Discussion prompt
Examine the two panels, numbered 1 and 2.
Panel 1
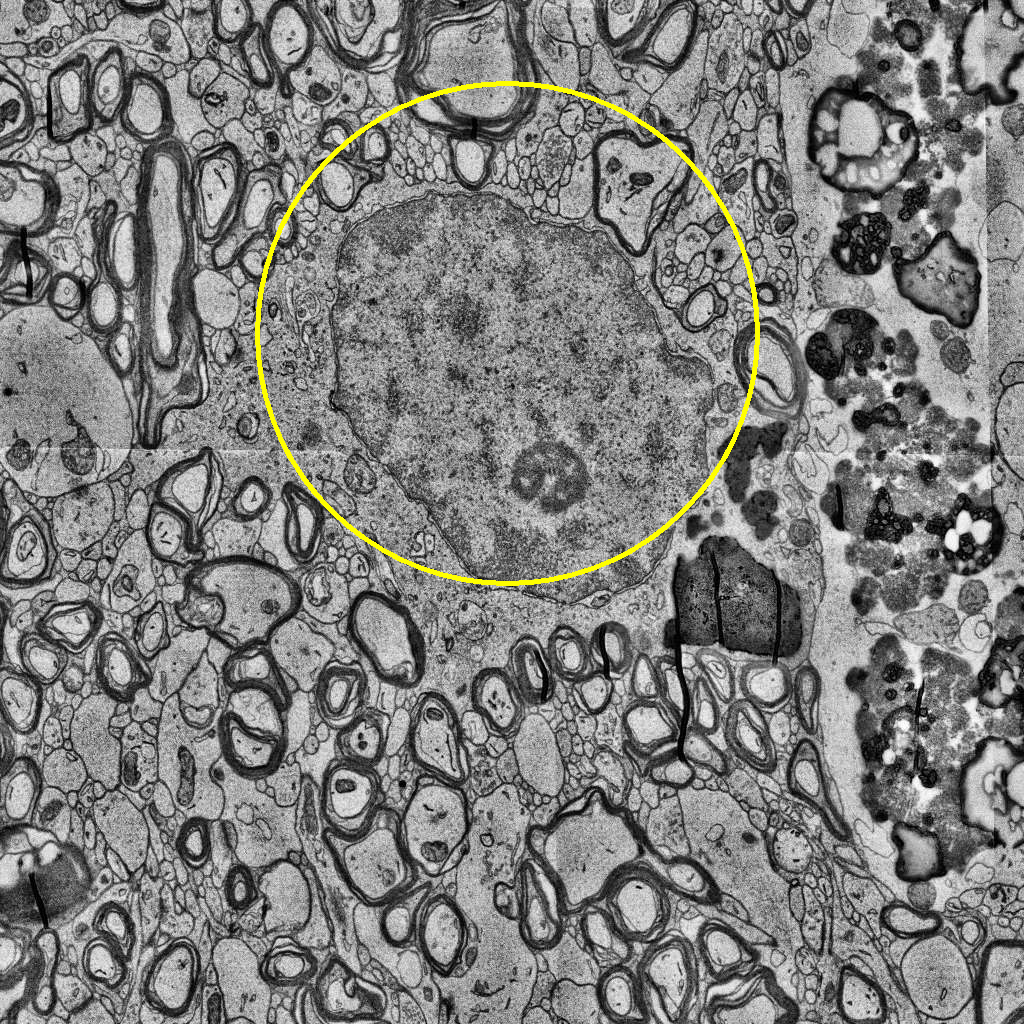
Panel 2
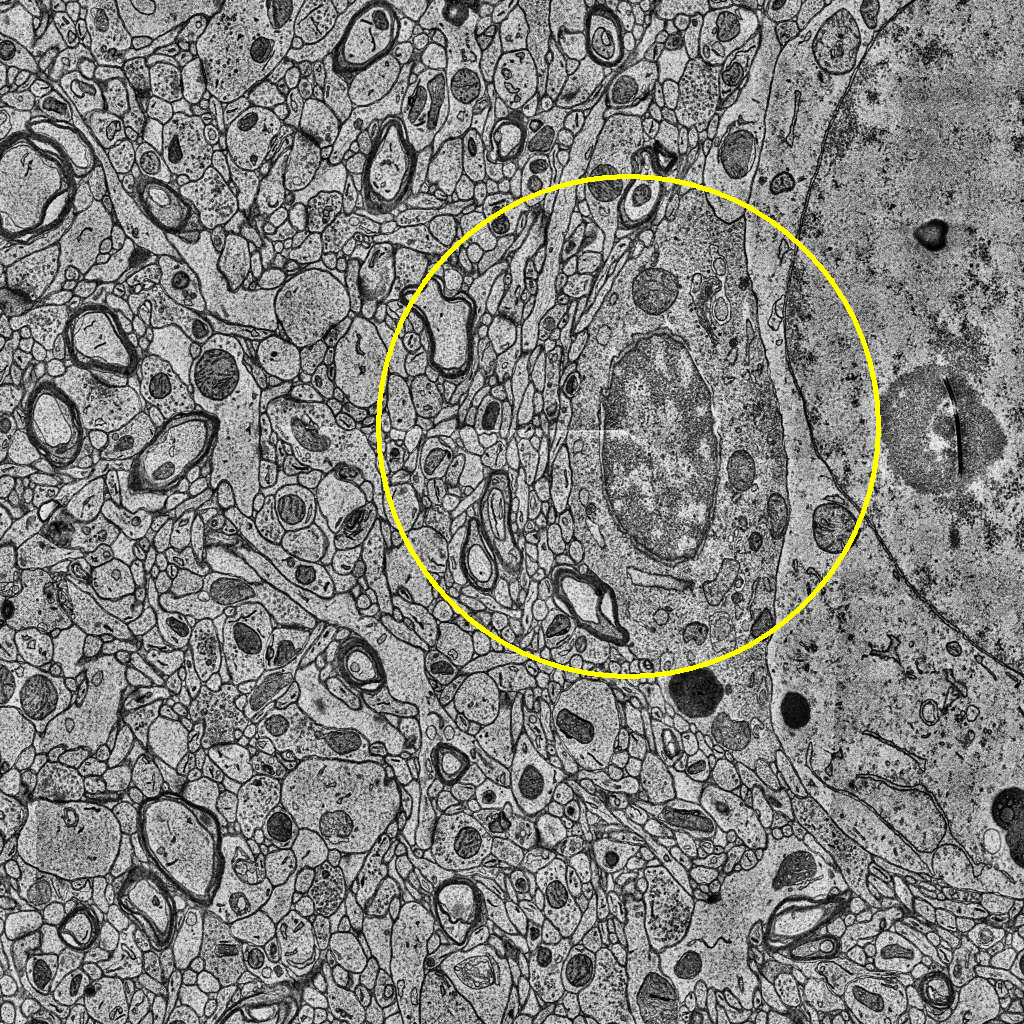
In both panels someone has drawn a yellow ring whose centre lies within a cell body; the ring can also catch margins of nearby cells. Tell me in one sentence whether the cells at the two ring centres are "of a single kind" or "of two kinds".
Taken together, the two cells at the ring centres of Panels 1 and 2 are of a single kind.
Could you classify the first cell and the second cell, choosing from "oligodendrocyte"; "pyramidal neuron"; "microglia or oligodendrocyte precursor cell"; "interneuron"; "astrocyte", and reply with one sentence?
Each of the two pictures has an oligodendrocyte at the ring centre.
